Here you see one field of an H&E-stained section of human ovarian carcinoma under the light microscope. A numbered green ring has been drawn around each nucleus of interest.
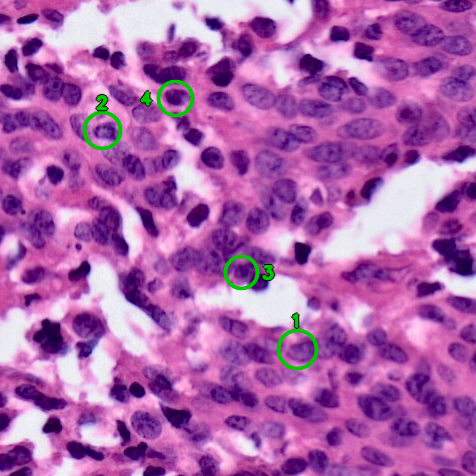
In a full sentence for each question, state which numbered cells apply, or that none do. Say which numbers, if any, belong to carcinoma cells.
Cells 1, 3 and 4 are carcinoma cells by cell type.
